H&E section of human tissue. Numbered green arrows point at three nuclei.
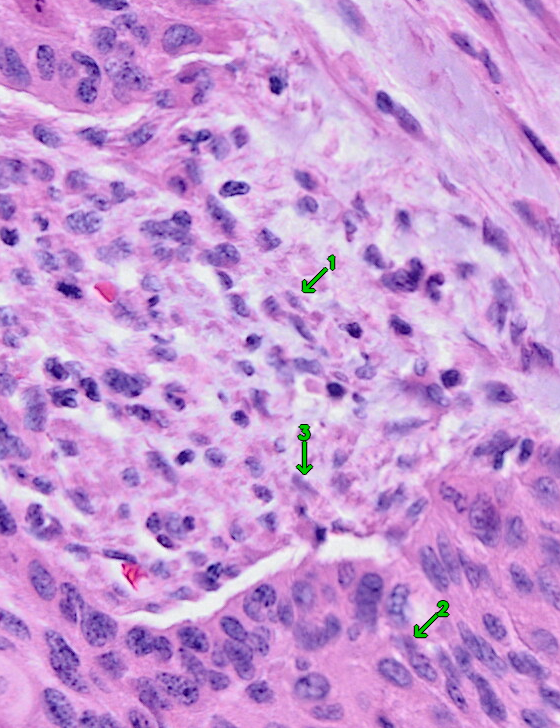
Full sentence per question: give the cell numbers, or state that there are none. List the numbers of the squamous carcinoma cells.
Of the numbered cells, only cell 2 is a squamous carcinoma cell.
